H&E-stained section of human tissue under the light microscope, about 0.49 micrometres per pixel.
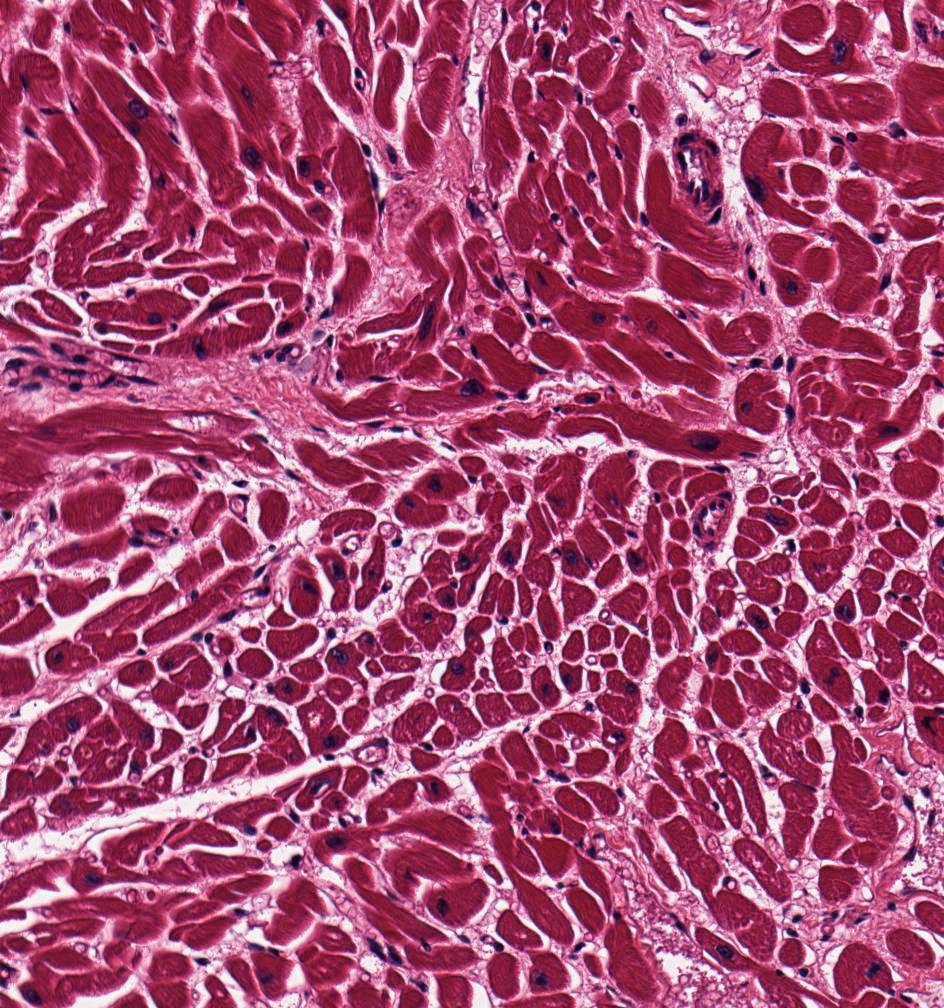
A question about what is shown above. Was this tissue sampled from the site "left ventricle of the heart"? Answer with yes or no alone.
yes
